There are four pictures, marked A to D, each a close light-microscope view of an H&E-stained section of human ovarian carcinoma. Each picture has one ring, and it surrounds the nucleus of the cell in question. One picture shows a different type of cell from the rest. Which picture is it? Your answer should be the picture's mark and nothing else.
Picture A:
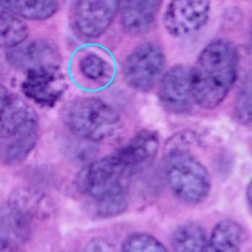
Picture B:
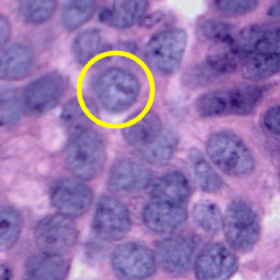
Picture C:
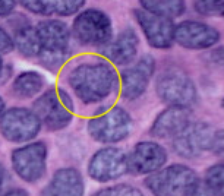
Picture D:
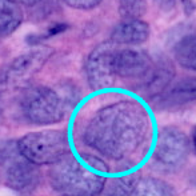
A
